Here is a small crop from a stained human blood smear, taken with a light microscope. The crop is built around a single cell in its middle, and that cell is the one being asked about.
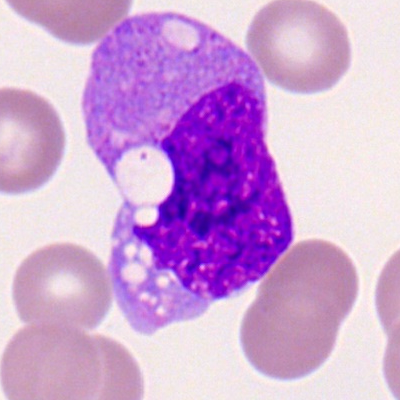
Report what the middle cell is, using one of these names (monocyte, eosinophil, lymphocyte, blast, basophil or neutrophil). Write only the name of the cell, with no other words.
monocyte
